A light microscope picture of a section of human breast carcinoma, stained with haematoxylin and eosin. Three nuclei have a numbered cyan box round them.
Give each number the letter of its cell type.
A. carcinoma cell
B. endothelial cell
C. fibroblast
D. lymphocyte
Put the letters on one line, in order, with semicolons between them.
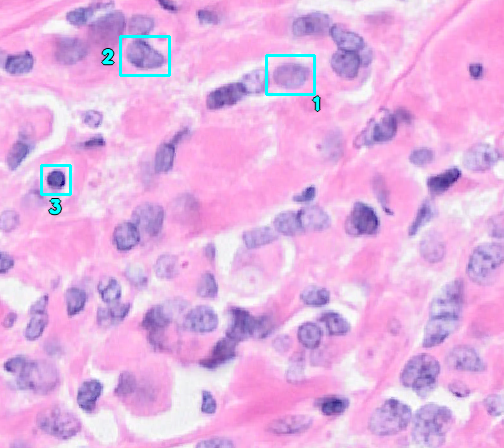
A; A; D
